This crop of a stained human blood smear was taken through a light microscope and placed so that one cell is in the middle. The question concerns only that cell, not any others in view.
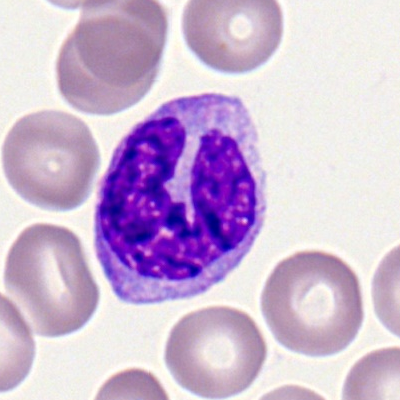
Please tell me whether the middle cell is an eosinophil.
no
